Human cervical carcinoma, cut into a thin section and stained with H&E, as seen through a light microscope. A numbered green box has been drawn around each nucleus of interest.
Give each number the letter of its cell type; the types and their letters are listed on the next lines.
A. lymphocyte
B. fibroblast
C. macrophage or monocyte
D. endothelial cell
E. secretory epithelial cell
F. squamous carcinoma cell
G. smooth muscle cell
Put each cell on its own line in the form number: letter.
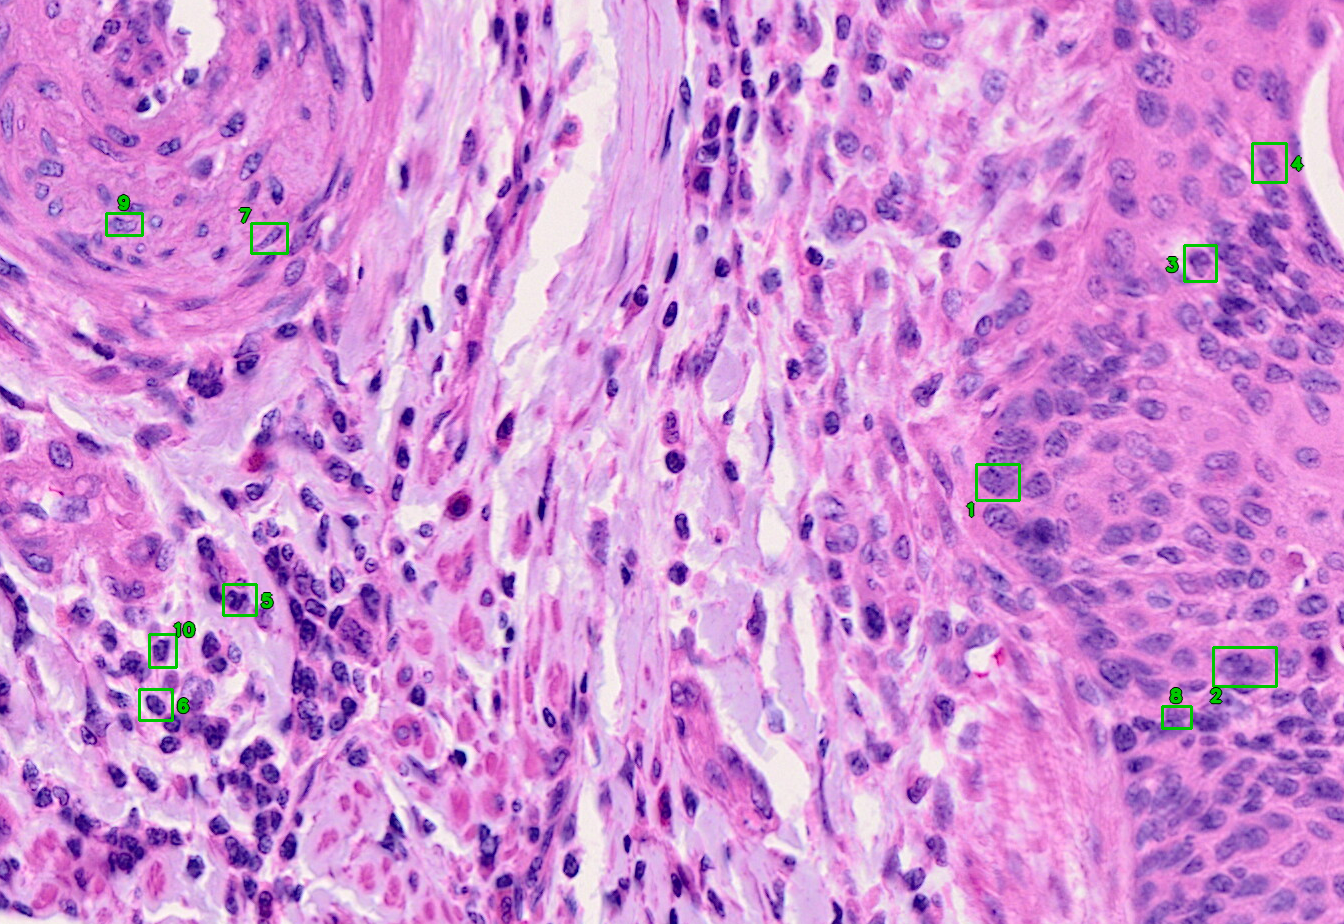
1: F
2: F
3: F
4: F
5: A
6: A
7: G
8: F
9: G
10: A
